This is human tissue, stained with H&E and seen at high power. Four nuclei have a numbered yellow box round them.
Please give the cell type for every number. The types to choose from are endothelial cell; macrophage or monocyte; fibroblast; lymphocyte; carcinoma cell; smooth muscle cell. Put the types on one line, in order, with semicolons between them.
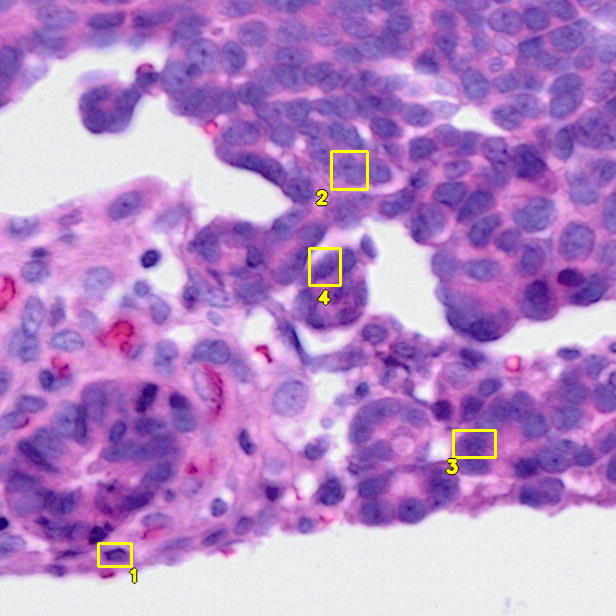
macrophage or monocyte; carcinoma cell; carcinoma cell; carcinoma cell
